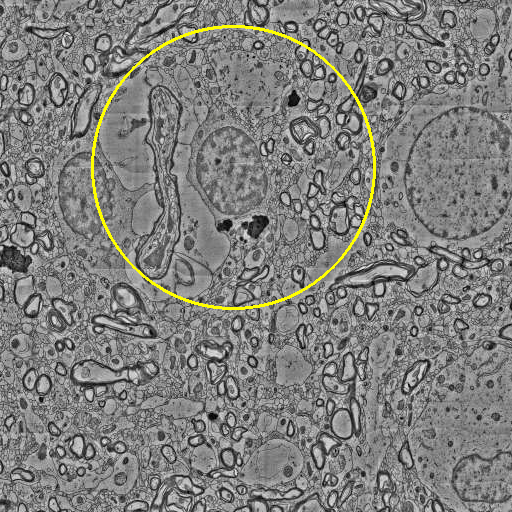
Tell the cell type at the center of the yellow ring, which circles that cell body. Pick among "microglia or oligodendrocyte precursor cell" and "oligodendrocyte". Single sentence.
The ring is centered on the body of an oligodendrocyte.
